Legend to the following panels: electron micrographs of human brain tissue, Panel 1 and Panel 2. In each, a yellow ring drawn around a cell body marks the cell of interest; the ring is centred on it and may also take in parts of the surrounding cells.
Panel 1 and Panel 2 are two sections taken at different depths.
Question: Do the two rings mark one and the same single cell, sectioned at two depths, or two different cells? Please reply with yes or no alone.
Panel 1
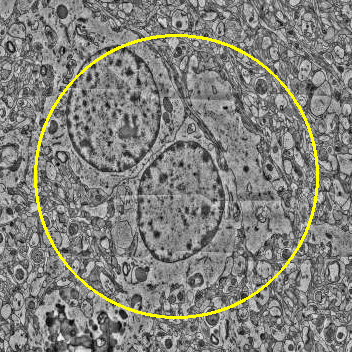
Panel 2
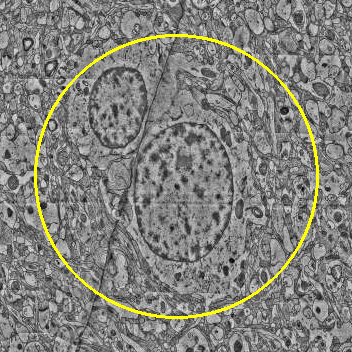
yes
